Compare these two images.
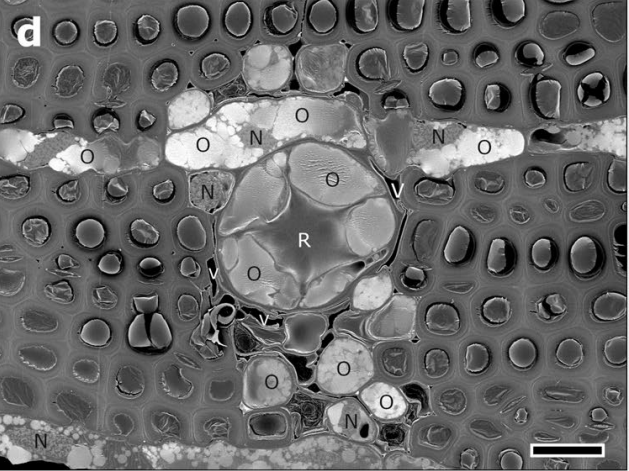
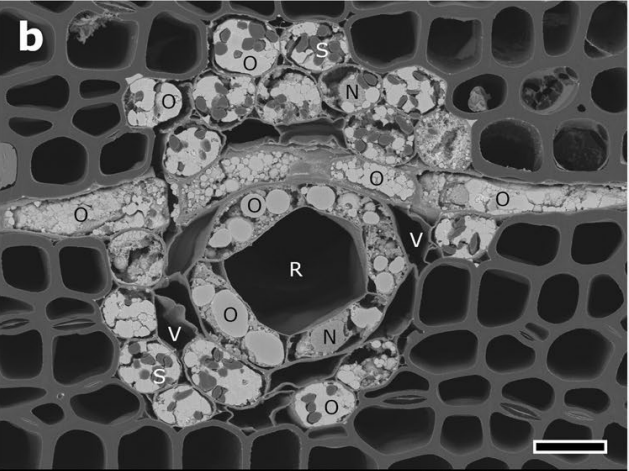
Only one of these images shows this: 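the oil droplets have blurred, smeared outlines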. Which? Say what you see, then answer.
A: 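First image: the cell contents appear as smeared pale masses without sharp droplet edges. Second image: the cells hold many discrete round droplets with crisp outlines. So: the first image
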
